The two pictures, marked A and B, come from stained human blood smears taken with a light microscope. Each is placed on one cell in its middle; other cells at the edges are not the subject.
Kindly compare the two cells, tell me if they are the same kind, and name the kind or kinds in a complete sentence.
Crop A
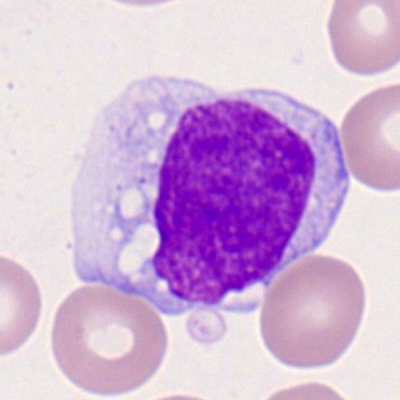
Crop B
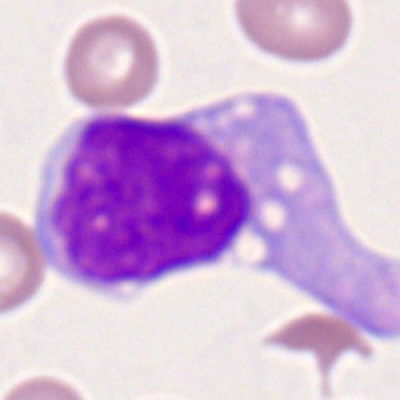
Yes, both crops feature monocytes at the centre.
